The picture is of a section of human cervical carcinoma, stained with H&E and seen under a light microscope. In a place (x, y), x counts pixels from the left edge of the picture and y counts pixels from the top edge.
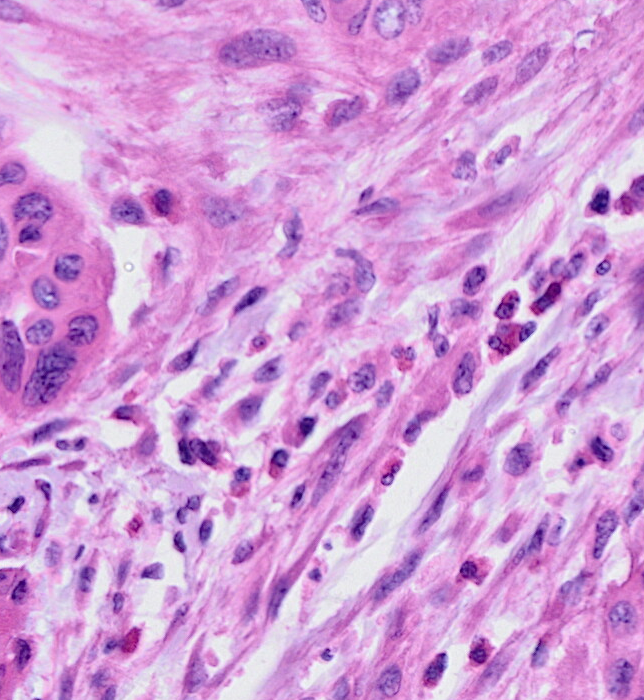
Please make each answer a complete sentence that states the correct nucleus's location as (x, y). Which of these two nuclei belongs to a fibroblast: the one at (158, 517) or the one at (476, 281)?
So, of the two, the nucleus at (158, 517) is the one belonging to a fibroblast.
